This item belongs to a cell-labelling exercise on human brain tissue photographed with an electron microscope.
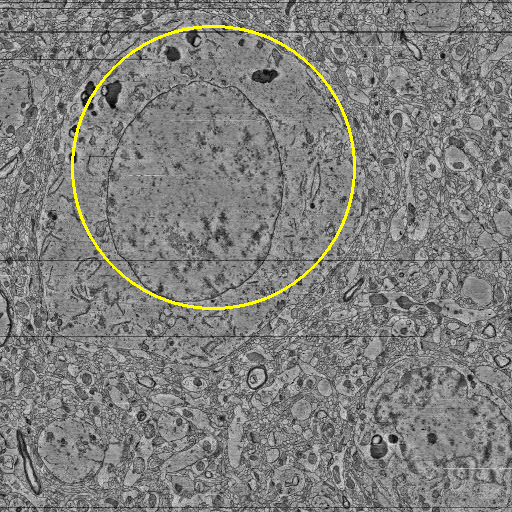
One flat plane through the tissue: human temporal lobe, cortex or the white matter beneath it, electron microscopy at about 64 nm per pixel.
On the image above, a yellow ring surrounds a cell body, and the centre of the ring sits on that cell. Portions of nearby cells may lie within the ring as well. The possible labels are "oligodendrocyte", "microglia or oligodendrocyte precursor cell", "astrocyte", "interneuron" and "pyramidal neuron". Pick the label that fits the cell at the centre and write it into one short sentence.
This cell should be labelled as a pyramidal neuron.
